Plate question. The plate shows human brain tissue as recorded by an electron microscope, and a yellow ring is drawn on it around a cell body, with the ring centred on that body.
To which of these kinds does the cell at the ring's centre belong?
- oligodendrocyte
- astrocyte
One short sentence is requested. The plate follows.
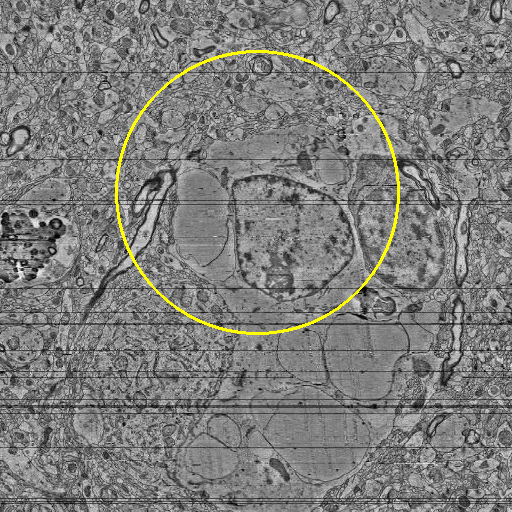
The cell at the ring's centre is an astrocyte.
